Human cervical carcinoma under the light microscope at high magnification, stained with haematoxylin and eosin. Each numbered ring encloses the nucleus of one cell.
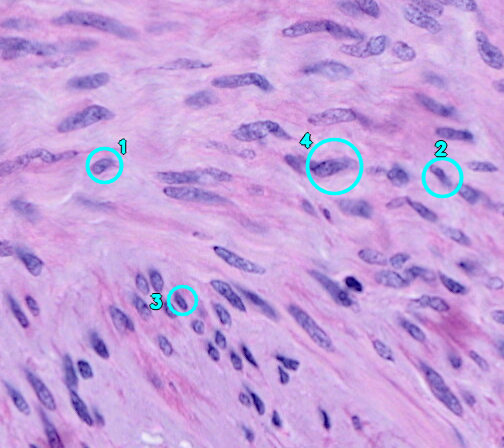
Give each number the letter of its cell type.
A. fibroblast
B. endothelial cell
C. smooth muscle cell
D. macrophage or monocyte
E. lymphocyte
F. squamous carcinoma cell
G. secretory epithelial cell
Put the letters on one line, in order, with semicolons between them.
C; A; C; C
